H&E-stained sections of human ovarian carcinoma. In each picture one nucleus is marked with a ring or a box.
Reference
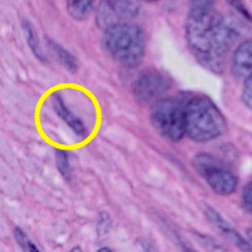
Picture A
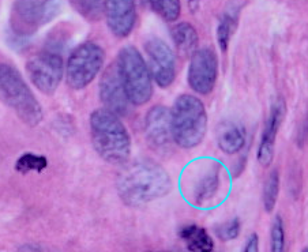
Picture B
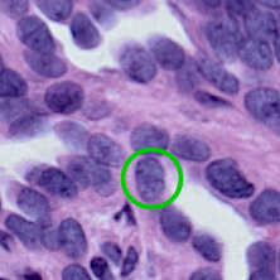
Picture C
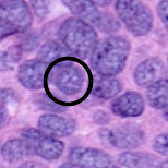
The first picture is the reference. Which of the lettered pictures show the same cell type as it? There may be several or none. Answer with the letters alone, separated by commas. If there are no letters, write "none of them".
A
